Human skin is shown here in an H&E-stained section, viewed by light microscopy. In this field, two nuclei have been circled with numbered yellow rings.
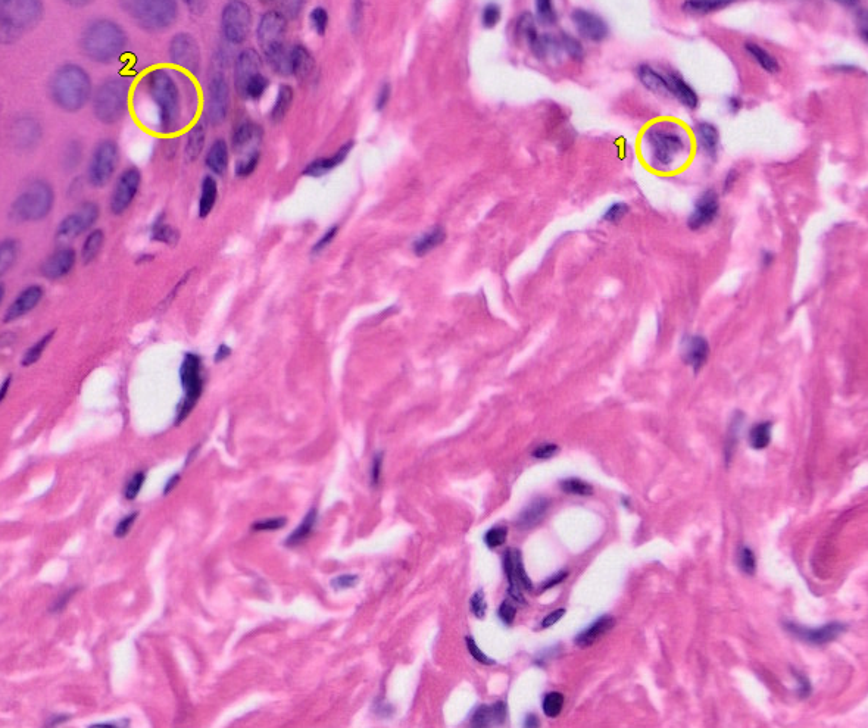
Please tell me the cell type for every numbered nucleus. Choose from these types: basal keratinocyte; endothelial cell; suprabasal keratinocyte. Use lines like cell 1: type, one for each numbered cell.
cell 1: endothelial cell
cell 2: basal keratinocyte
